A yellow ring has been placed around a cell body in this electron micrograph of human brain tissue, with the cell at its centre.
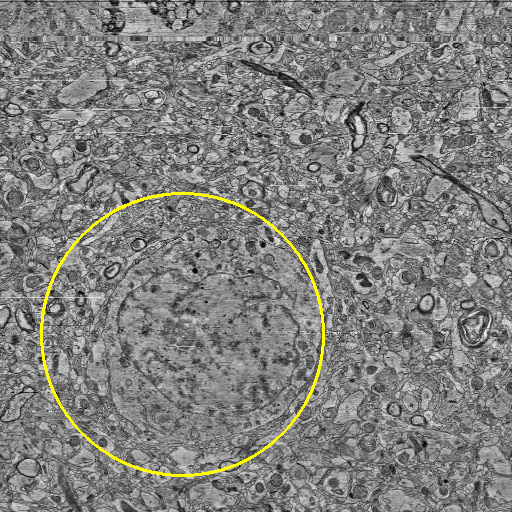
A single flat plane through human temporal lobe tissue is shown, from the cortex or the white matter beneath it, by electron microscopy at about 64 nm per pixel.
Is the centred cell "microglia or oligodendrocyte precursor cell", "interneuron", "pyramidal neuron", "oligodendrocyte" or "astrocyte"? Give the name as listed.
interneuron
